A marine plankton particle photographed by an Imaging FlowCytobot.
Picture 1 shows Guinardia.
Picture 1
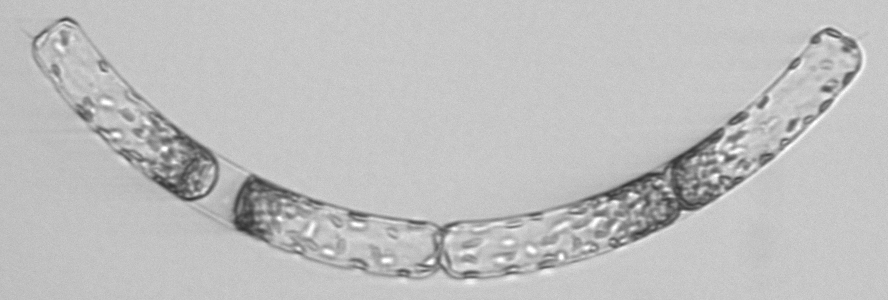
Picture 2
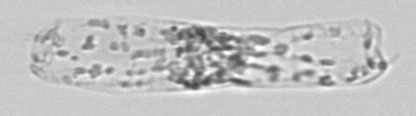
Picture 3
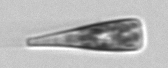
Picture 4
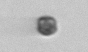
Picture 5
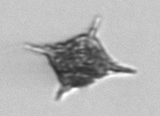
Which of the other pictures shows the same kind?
Picture 2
